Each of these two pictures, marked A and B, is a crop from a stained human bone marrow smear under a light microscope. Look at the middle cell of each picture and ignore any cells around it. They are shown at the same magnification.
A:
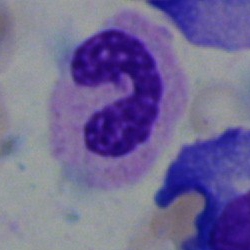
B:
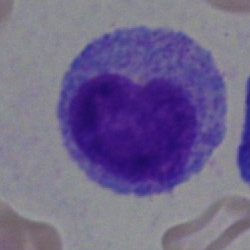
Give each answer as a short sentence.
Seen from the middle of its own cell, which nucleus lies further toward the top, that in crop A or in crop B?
Seen within its cell, the nucleus in crop A lies further toward the top.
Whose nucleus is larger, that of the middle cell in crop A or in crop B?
Crop B shows the larger nucleus; it covers about 1.5 times the area of the nucleus in crop A.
